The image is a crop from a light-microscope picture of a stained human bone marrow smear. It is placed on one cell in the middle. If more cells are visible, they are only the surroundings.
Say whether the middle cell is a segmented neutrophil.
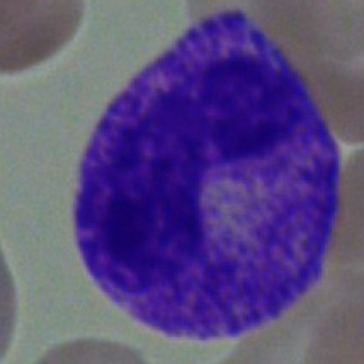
no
